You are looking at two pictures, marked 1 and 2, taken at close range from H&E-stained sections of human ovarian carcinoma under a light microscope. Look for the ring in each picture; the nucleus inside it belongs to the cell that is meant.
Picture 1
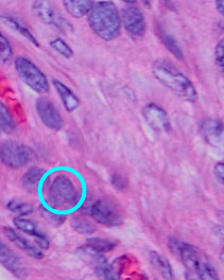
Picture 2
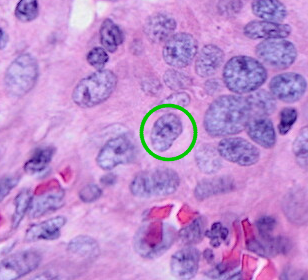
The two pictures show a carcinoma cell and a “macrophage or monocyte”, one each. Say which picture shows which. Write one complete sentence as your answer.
The cell in picture 1 is a carcinoma cell, and the one in picture 2 is a “macrophage or monocyte”.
